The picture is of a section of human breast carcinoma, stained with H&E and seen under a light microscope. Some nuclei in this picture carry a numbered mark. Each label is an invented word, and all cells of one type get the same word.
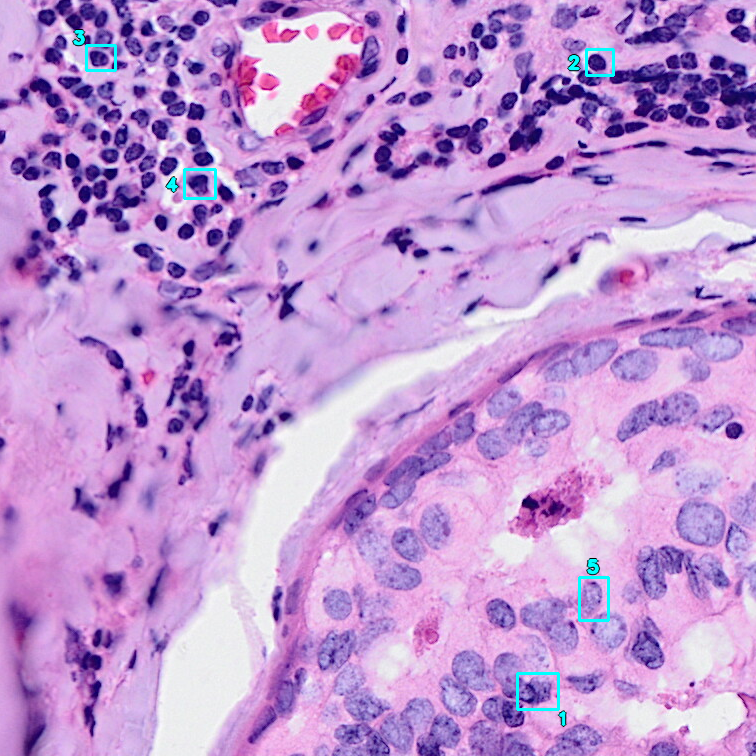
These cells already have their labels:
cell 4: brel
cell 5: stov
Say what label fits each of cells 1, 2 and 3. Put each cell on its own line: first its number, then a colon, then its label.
1: stov
2: brel
3: brel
